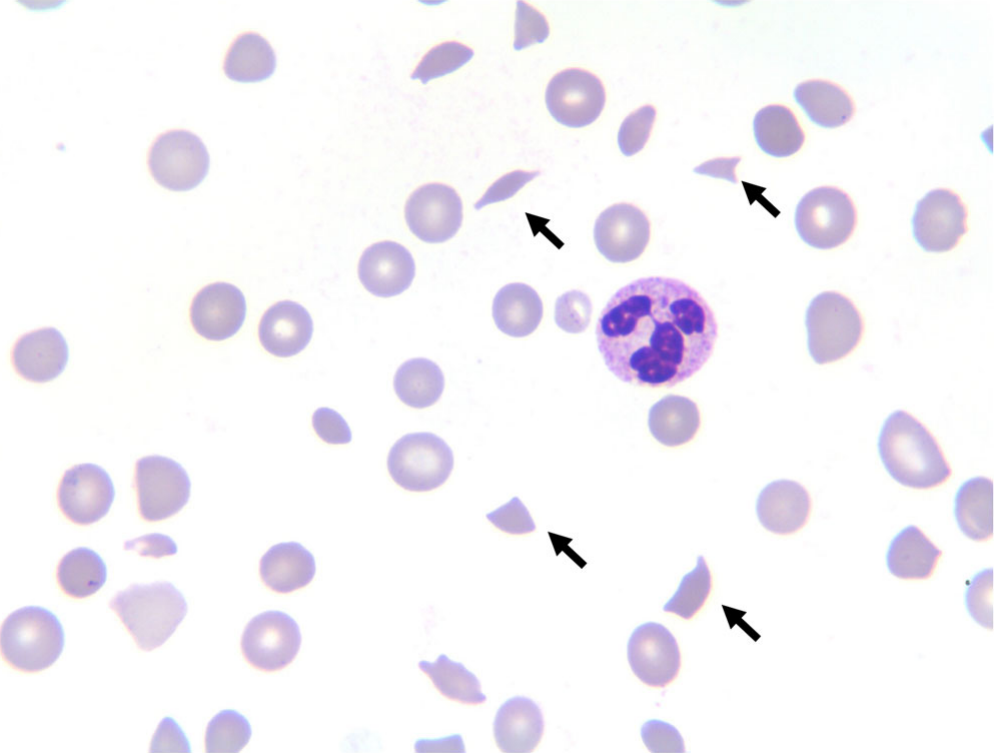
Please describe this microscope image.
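This is a peripheral blood smear with red cells of clearly varying size and shape. Many red cells are round with central pallor, but small irregular fragments with sharp angles, some helmet-shaped or triangular, are scattered among them. Several of these fragments are marked by arrows. In the centre lies a neutrophil with a segmented, dark purple nucleus and pale granular cytoplasm.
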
